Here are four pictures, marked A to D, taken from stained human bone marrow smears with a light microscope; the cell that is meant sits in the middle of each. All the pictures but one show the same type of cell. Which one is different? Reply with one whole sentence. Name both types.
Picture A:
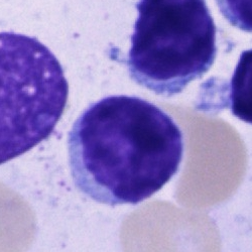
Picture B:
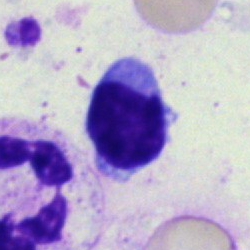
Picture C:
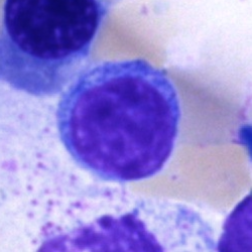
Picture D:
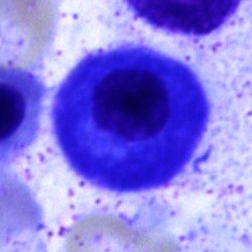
The different one is picture D; it shows a plasma cell, whereas all the others show lymphocytes.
